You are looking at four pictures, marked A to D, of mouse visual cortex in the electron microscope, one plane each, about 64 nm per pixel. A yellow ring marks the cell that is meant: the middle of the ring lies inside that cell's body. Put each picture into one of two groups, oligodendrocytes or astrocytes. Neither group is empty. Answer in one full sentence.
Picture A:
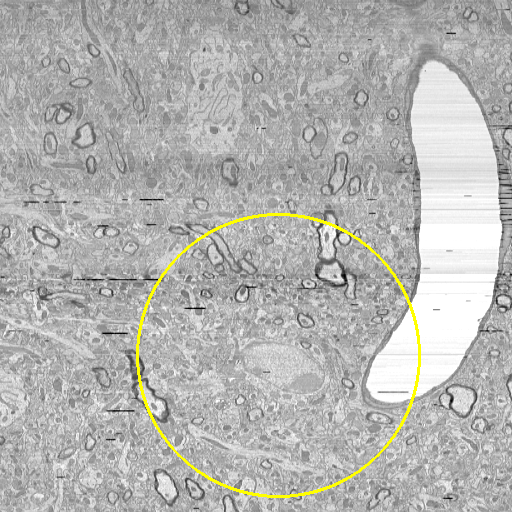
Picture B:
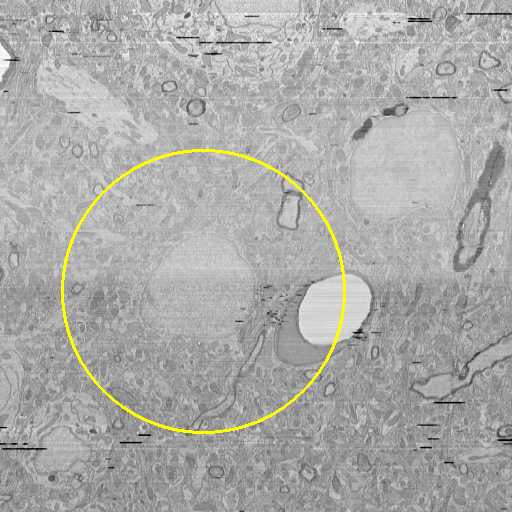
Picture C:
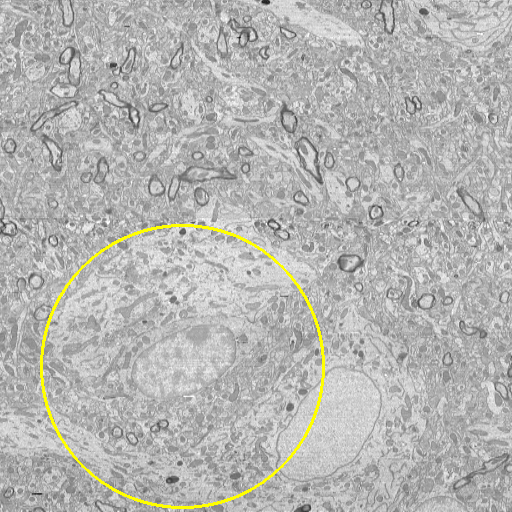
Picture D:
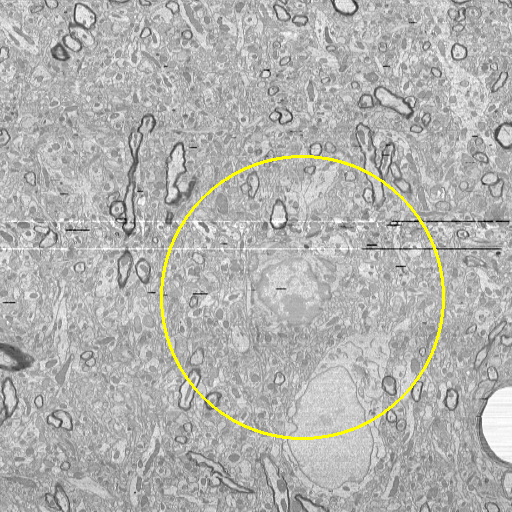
Pictures C and D show oligodendrocytes, and pictures A and B show astrocytes.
